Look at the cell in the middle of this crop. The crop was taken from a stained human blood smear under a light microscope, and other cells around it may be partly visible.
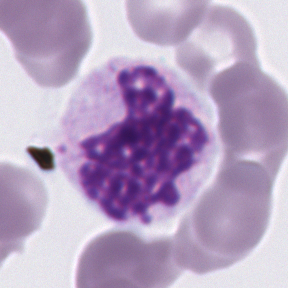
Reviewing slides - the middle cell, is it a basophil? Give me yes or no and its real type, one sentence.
No, the cell in the middle is recognised as a segmented neutrophil rather than a basophil.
